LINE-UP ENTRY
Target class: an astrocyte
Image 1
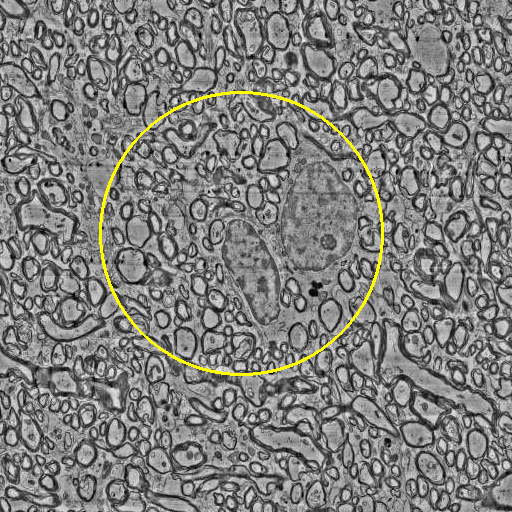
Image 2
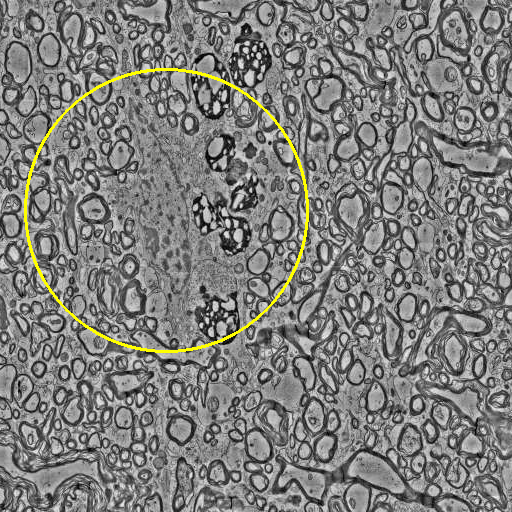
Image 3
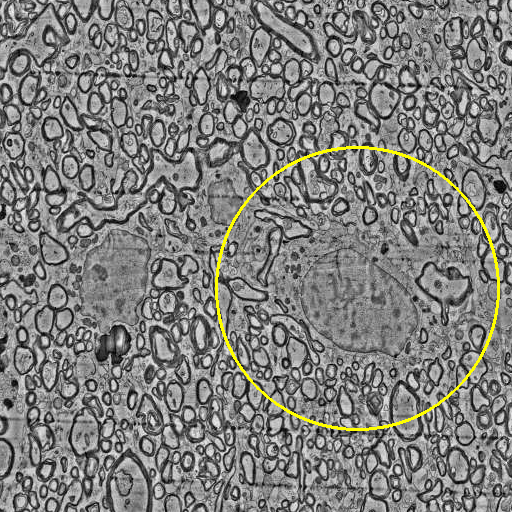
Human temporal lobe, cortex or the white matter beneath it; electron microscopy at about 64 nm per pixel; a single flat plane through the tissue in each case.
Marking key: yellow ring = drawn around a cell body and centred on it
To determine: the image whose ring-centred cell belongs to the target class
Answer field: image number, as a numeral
2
